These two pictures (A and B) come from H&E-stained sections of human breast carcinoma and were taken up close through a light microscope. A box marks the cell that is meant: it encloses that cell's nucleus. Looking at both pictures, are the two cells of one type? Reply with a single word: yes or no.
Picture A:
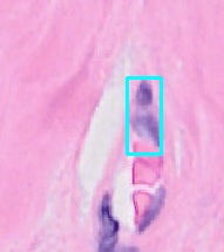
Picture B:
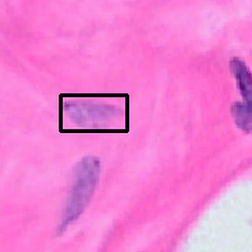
no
